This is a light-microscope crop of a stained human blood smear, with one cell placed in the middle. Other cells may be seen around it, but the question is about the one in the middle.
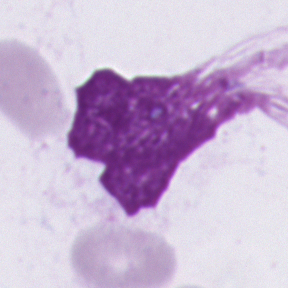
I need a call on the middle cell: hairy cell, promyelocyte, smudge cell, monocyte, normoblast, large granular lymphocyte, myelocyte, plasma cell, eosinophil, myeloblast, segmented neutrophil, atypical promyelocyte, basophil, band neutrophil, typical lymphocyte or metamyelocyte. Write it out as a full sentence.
The centered cell in this crop is a smudge cell.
